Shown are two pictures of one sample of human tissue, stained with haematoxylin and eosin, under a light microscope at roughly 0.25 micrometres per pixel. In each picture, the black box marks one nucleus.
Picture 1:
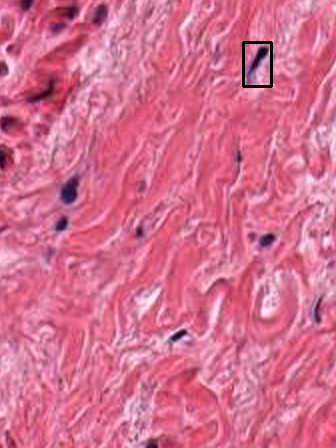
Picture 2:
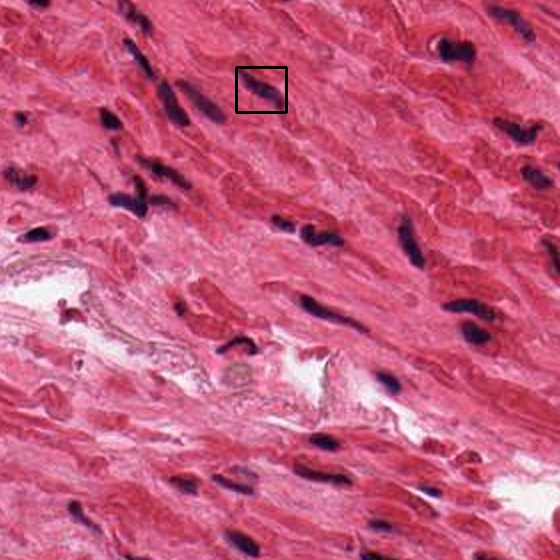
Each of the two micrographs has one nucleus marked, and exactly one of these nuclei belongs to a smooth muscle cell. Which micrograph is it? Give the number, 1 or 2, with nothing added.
2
